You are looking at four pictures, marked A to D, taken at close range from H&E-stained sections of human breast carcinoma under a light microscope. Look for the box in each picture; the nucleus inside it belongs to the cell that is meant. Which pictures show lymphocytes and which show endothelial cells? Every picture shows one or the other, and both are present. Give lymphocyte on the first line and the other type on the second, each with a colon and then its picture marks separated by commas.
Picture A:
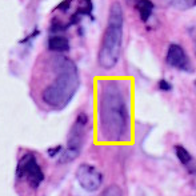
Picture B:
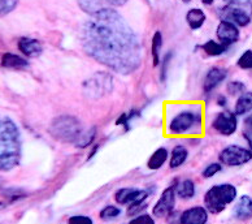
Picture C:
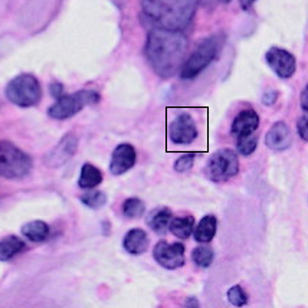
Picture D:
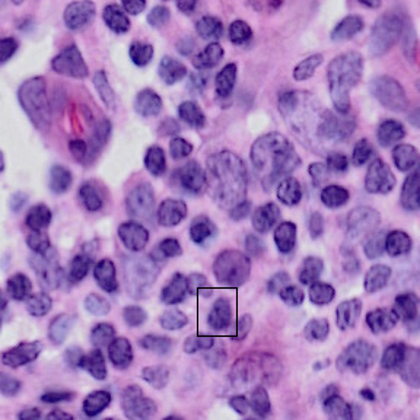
lymphocyte: B, C, D
endothelial cell: A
